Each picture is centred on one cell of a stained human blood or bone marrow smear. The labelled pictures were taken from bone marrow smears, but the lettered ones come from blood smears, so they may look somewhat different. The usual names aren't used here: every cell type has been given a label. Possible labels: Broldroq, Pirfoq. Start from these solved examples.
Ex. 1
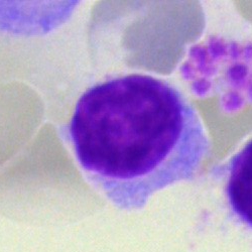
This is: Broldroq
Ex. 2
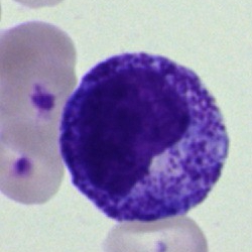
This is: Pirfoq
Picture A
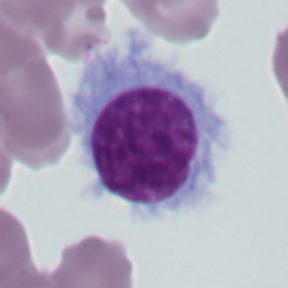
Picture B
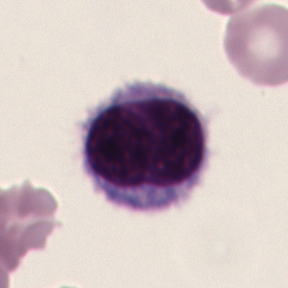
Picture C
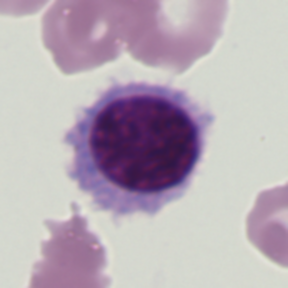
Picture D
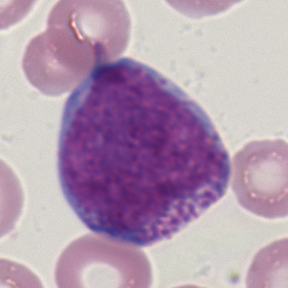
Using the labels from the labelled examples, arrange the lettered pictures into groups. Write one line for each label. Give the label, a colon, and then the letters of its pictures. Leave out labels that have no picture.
Broldroq: A, B, C
Pirfoq: D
